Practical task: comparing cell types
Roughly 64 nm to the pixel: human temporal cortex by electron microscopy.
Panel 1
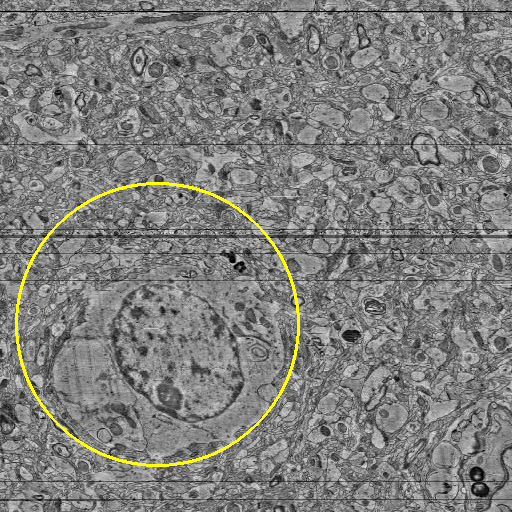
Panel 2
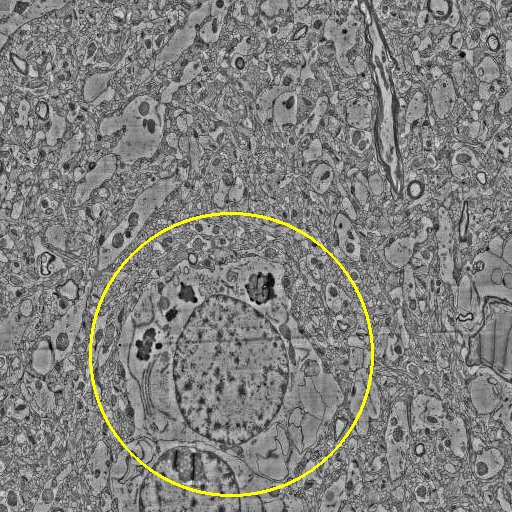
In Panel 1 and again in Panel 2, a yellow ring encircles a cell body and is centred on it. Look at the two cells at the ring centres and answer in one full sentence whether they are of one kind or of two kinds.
The two cells sitting at the ring centres of Panels 1 and 2 are of one kind.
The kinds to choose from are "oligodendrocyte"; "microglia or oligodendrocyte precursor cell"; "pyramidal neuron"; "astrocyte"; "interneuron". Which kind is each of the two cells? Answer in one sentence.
The cell at the ring centre is an astrocyte in both pictures.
